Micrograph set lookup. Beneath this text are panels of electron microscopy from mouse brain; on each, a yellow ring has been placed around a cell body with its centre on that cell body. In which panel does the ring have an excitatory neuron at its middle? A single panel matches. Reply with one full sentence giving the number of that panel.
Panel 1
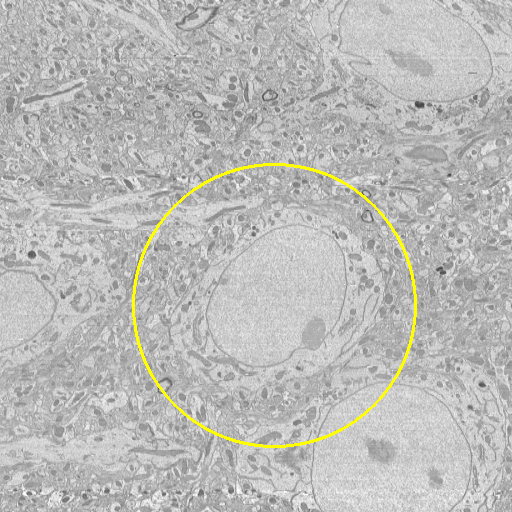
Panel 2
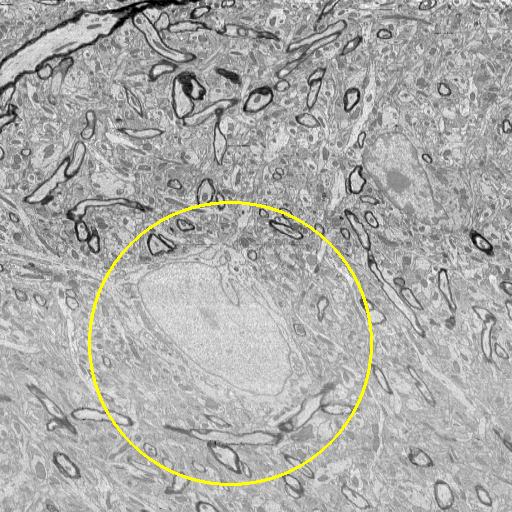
Panel 1 is the one whose ring has the sought cell at its centre.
